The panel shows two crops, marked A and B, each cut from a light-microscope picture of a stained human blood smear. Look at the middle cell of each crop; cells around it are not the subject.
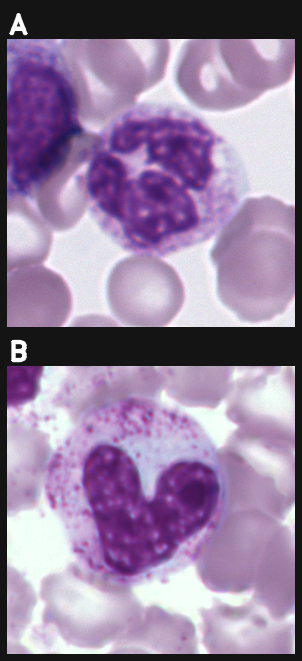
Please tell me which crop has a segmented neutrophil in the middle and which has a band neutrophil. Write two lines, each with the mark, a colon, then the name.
A: segmented neutrophil
B: band neutrophil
